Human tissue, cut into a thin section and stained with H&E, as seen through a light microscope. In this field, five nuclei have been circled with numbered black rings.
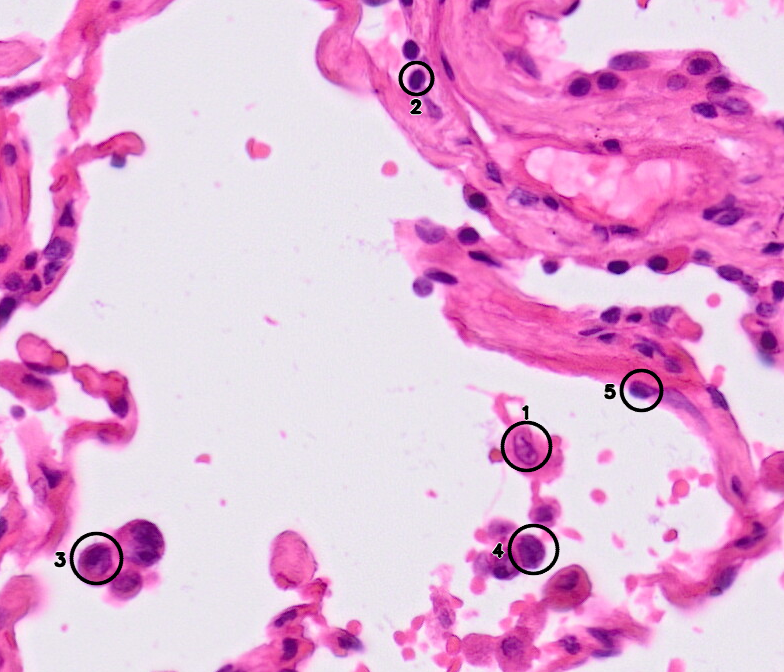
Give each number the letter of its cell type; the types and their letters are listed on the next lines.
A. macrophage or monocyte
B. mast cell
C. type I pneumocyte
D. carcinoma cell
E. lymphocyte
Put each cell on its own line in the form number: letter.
1: A
2: E
3: D
4: D
5: C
